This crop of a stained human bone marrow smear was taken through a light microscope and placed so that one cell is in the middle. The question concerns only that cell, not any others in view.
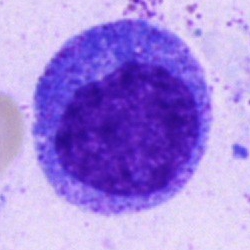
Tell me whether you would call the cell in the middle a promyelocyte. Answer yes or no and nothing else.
yes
